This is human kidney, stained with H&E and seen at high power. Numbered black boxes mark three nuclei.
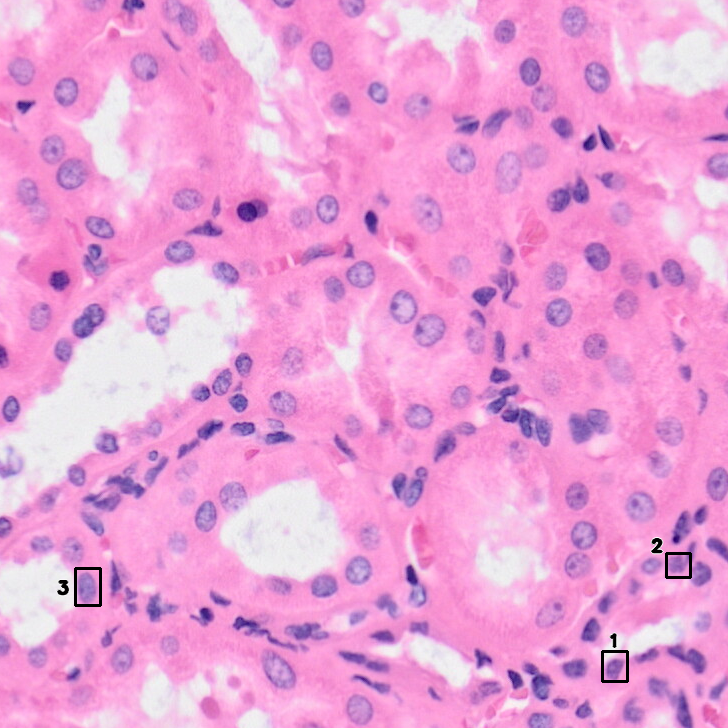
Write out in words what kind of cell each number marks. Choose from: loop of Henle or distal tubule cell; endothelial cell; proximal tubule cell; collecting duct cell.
Cell 1 is a collecting duct cell, cell 2 is a collecting duct cell and cell 3 is a loop of Henle or distal tubule cell.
